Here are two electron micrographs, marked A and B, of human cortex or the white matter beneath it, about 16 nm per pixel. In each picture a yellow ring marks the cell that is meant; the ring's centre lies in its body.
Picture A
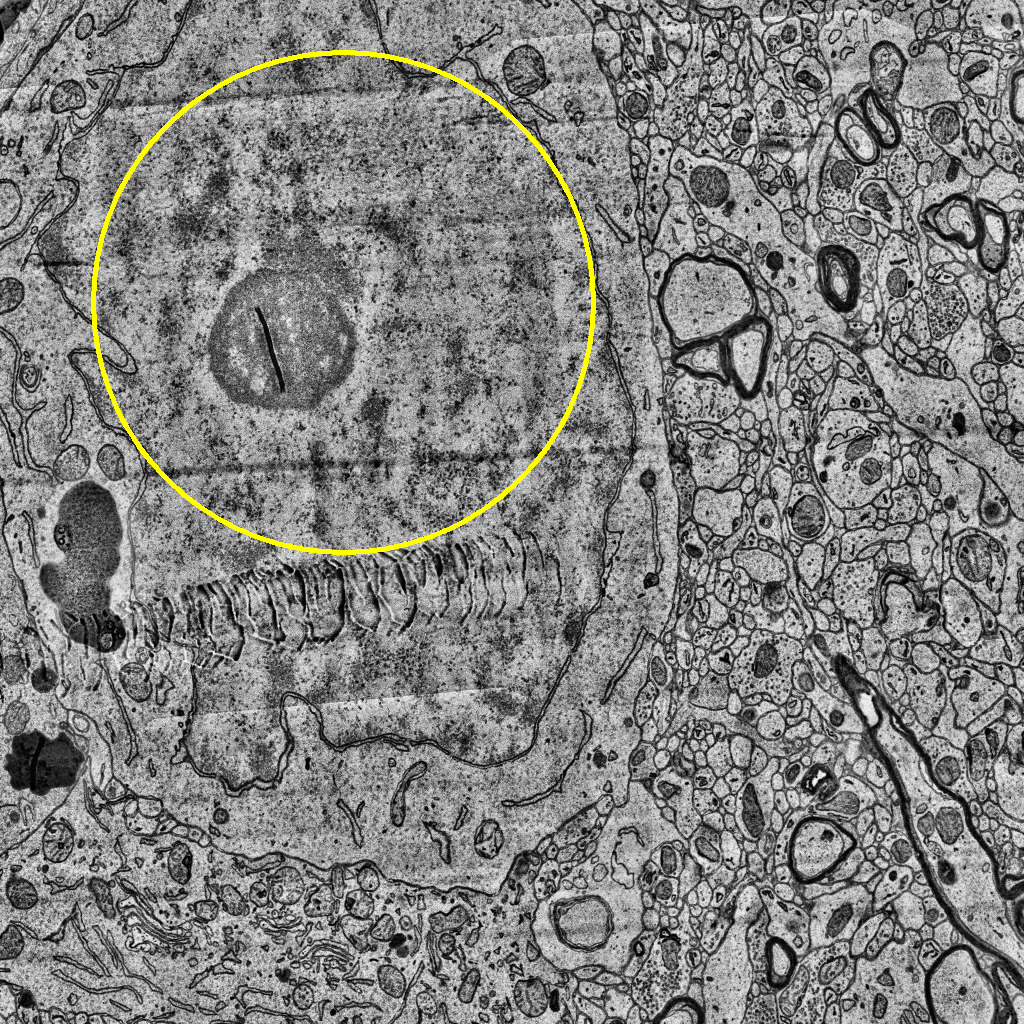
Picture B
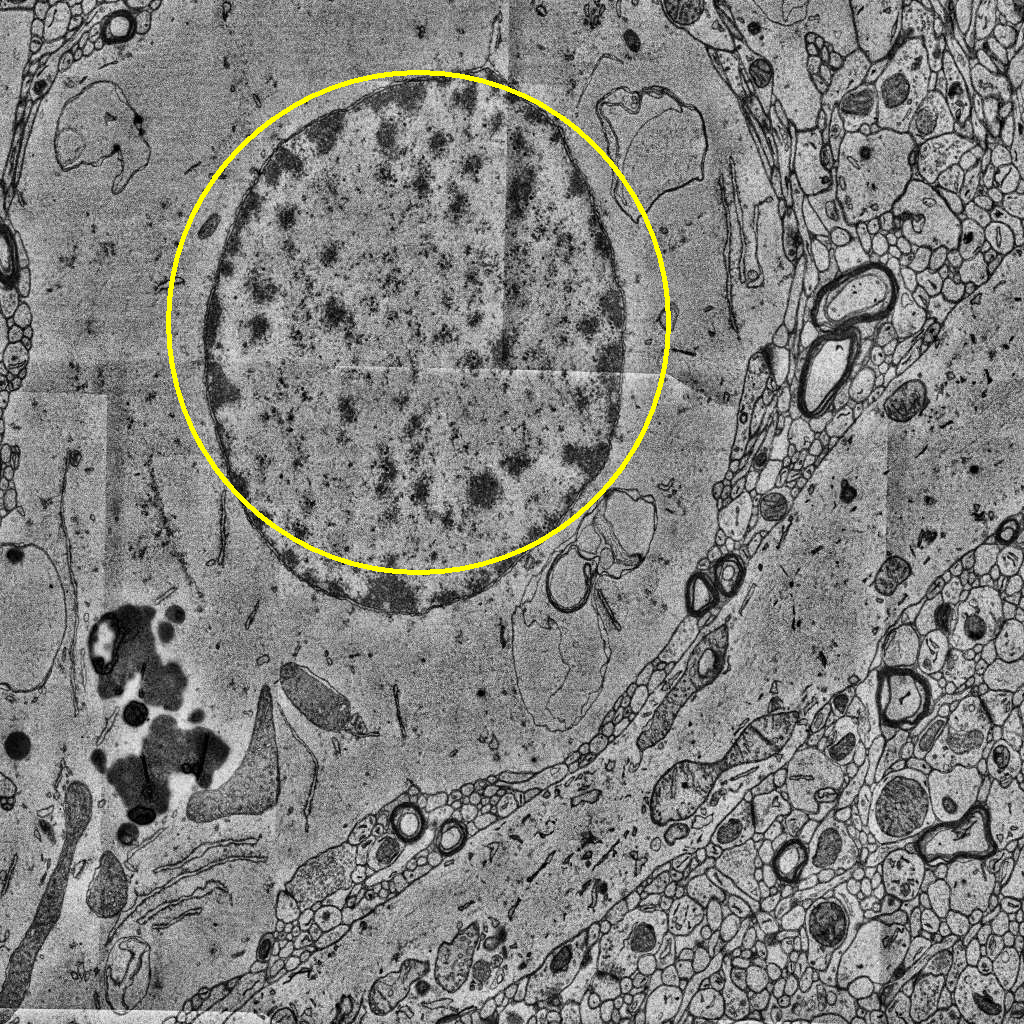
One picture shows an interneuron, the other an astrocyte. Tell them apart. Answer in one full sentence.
In picture A the cell is an interneuron; in picture B, an astrocyte.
